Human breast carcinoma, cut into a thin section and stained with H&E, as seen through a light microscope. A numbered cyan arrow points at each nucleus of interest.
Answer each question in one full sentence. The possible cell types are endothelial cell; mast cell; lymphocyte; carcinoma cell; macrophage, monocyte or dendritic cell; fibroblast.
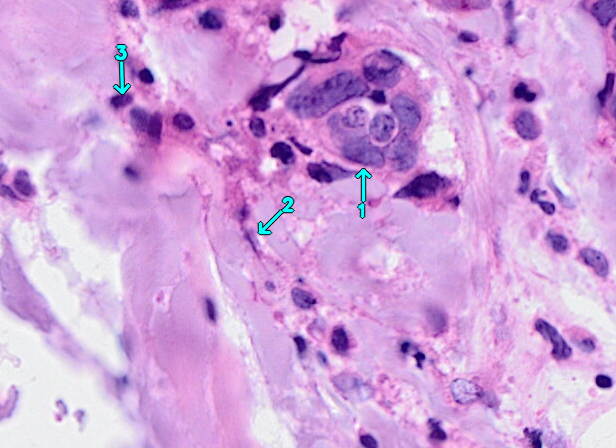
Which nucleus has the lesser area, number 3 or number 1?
It is nucleus 3; nucleus 1 has about 3 times its area.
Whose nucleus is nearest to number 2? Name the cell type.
The nearest nucleus to number 2 belongs to a macrophage, monocyte or dendritic cell.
